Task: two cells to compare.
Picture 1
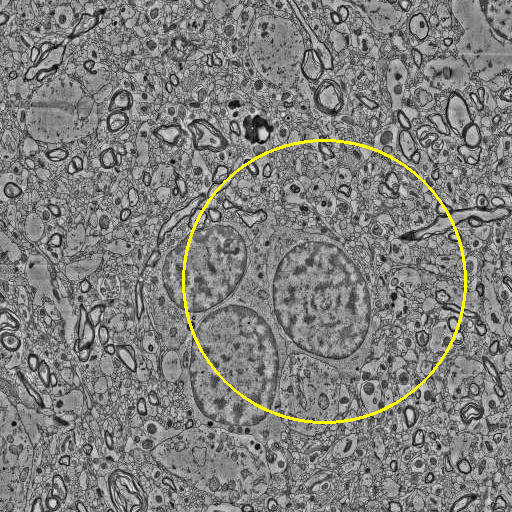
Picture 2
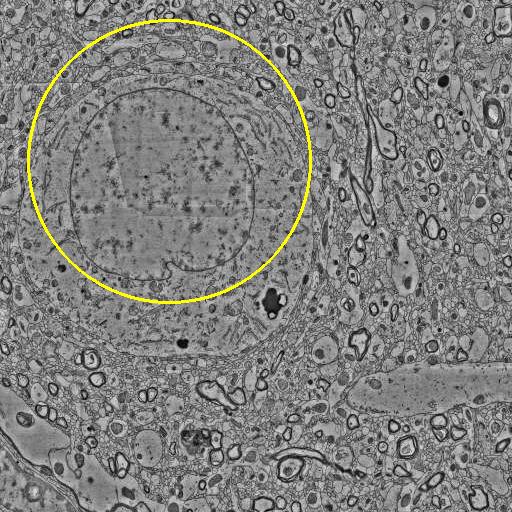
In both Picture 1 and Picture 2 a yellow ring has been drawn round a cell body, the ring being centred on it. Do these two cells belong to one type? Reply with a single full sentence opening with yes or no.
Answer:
No, the two cells at the ring centres in Picture 1 and Picture 2 are of two types.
